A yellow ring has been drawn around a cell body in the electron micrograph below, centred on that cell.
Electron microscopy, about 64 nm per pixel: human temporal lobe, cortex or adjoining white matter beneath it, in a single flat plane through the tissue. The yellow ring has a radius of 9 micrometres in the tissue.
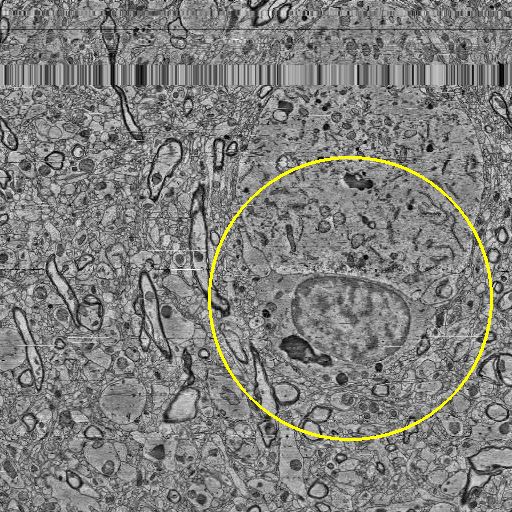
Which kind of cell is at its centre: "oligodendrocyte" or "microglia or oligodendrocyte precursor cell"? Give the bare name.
oligodendrocyte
